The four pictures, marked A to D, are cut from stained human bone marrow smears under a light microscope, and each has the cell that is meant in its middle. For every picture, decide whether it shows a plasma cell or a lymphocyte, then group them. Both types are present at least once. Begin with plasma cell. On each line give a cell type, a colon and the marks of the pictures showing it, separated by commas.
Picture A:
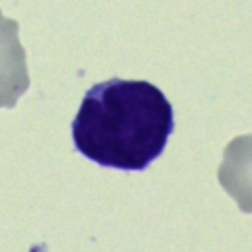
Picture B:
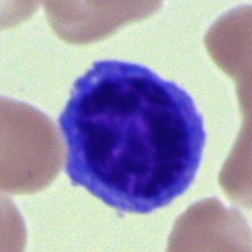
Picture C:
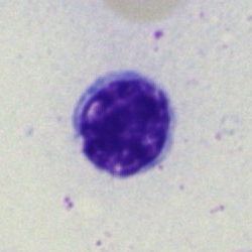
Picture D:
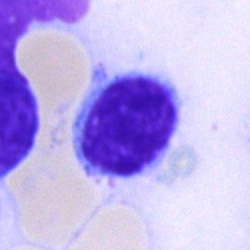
plasma cell: B
lymphocyte: A, C, D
